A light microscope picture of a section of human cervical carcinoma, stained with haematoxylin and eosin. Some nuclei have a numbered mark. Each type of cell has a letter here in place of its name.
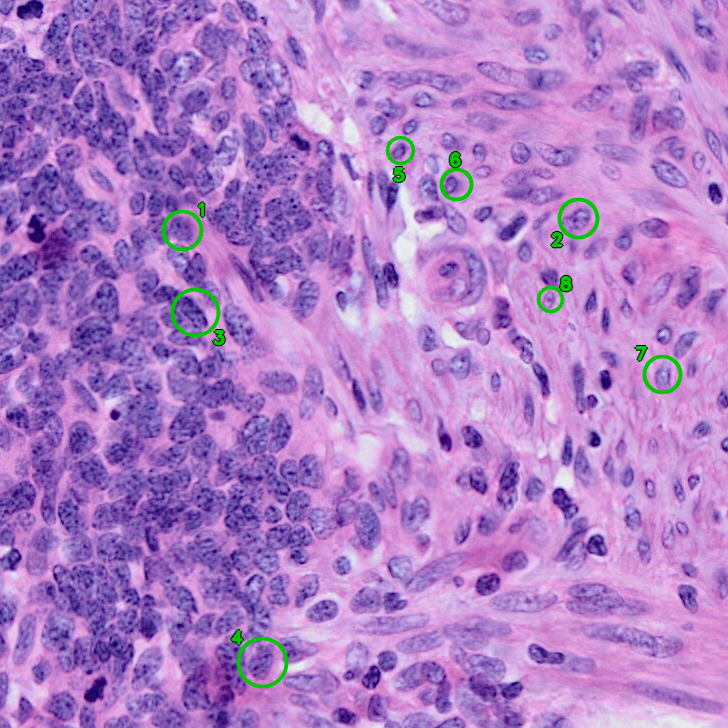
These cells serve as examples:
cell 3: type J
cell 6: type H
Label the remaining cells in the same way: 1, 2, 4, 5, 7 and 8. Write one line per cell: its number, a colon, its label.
1: type J
2: type H
4: type J
5: type H
7: type H
8: type H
